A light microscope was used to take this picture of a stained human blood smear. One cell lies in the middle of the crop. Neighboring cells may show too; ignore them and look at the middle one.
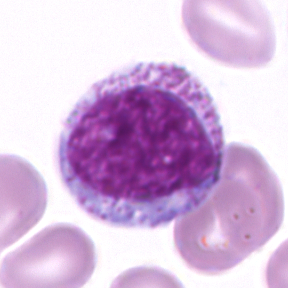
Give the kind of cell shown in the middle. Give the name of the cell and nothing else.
myelocyte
